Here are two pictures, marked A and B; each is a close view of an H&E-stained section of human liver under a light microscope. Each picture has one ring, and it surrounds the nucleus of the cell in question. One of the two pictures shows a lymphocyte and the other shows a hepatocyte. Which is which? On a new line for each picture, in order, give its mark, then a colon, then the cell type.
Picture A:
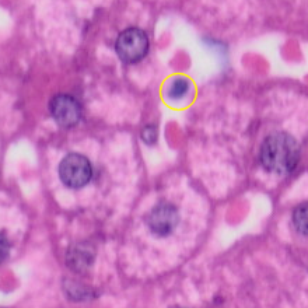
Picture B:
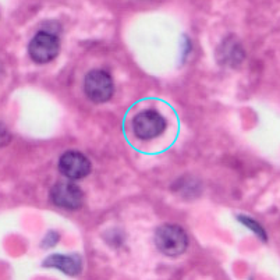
A: lymphocyte
B: hepatocyte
